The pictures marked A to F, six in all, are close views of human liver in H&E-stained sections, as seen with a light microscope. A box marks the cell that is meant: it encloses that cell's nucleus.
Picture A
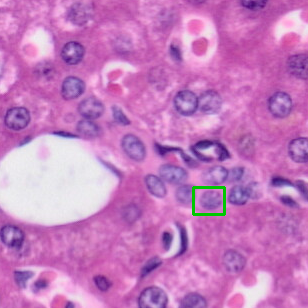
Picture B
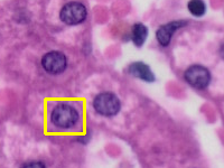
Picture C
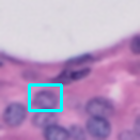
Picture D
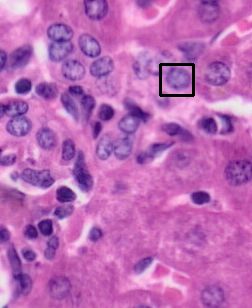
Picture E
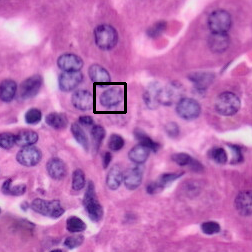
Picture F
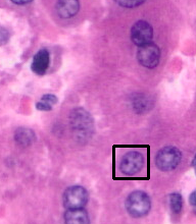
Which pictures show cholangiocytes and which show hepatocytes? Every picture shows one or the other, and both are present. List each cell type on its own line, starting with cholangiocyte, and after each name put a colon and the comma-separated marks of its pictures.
cholangiocyte: A, C, D, E
hepatocyte: B, F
